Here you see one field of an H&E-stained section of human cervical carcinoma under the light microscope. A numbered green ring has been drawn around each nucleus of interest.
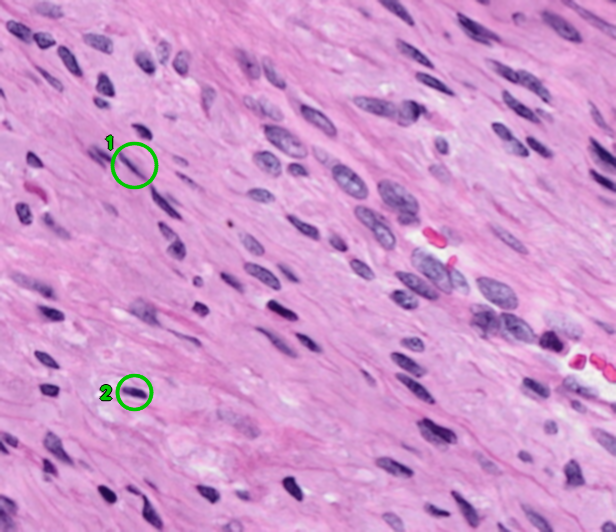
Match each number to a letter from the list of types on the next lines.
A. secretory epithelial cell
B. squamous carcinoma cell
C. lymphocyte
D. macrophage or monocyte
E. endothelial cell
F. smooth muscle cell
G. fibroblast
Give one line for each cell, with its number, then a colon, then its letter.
1: G
2: C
